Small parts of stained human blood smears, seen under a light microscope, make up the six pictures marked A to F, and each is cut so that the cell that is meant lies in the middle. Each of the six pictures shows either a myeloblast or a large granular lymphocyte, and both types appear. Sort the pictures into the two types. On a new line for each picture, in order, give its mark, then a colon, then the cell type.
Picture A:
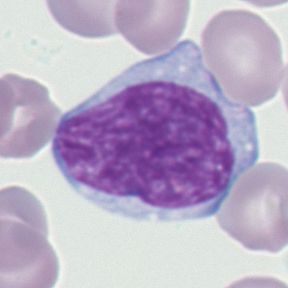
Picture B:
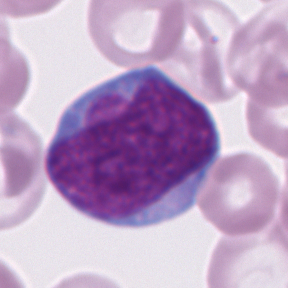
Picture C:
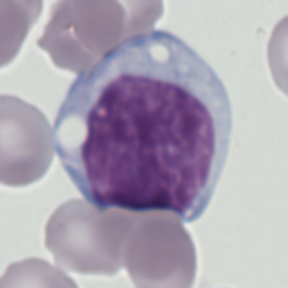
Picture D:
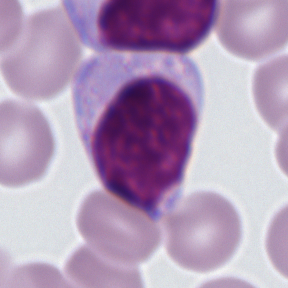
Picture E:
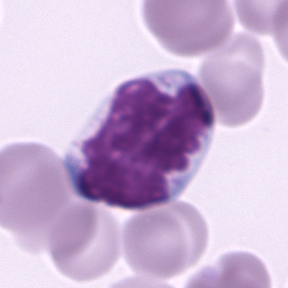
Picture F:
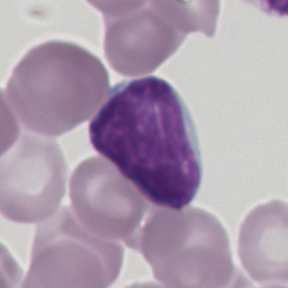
A: myeloblast
B: myeloblast
C: myeloblast
D: large granular lymphocyte
E: large granular lymphocyte
F: myeloblast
